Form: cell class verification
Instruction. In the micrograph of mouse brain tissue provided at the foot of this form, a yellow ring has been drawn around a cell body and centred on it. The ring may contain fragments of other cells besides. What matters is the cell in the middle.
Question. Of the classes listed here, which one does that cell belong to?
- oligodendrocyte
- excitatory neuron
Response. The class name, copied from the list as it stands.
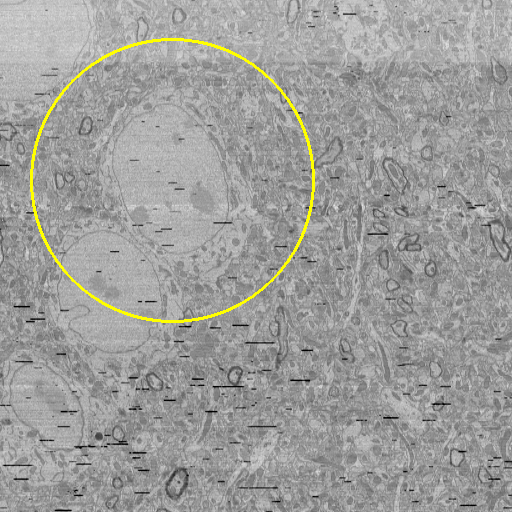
excitatory neuron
